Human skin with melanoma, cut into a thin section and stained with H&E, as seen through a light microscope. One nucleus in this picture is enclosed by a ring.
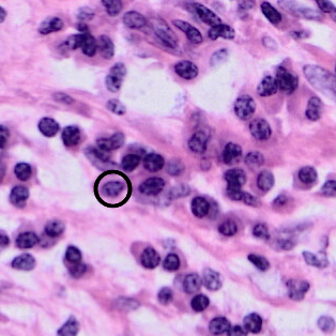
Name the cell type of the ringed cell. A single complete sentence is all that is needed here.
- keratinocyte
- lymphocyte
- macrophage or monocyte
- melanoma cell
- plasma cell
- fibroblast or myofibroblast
It is as a plasma cell that the ringed cell is classified.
